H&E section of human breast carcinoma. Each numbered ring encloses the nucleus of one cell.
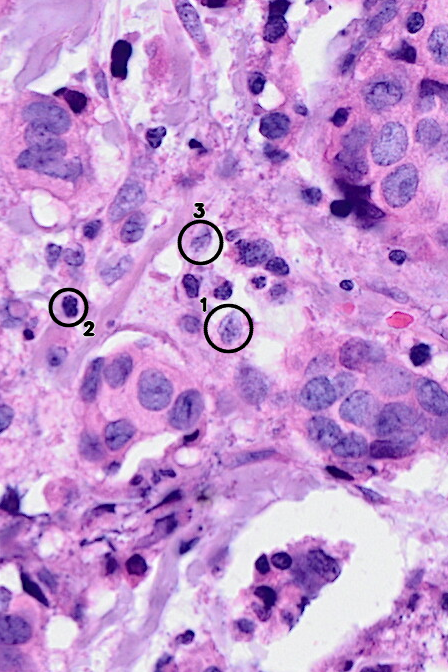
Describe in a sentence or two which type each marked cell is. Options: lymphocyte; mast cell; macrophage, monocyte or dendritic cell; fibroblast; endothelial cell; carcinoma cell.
Cells 1 and 3 are macrophages, monocytes or dendritic cells. Cell 2 is a lymphocyte.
